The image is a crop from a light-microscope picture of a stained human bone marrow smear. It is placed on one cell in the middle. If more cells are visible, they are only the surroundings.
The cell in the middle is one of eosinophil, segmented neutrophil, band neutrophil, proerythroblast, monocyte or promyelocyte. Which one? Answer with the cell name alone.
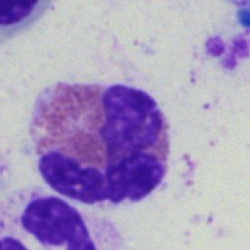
eosinophil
